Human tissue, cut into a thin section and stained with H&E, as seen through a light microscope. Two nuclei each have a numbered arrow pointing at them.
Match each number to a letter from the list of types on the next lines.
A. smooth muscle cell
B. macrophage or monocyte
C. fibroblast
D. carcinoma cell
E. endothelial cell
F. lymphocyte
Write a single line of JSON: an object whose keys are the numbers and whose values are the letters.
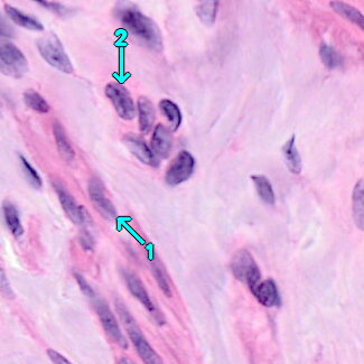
{"1": "A", "2": "E"}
